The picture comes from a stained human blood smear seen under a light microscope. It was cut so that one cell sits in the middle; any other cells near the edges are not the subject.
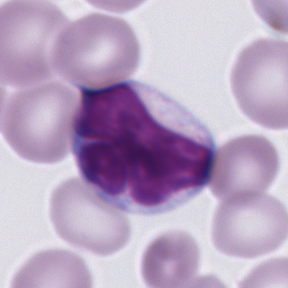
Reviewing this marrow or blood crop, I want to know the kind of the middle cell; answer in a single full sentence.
Present in the middle of the crop is a large granular lymphocyte.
